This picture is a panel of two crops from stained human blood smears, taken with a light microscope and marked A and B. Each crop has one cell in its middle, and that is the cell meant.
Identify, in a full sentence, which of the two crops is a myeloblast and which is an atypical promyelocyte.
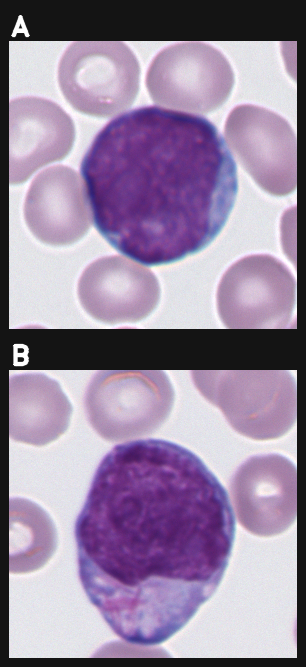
Crop A presents a myeloblast, and crop B presents an atypical promyelocyte.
